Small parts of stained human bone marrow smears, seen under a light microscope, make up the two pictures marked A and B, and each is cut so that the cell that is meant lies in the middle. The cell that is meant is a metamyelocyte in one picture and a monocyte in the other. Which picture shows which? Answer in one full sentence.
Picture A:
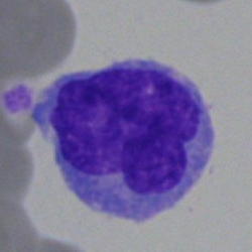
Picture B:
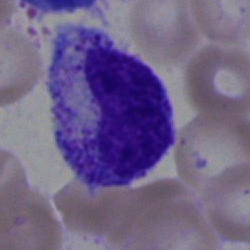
In picture A the cell is a monocyte; in picture B, a metamyelocyte.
